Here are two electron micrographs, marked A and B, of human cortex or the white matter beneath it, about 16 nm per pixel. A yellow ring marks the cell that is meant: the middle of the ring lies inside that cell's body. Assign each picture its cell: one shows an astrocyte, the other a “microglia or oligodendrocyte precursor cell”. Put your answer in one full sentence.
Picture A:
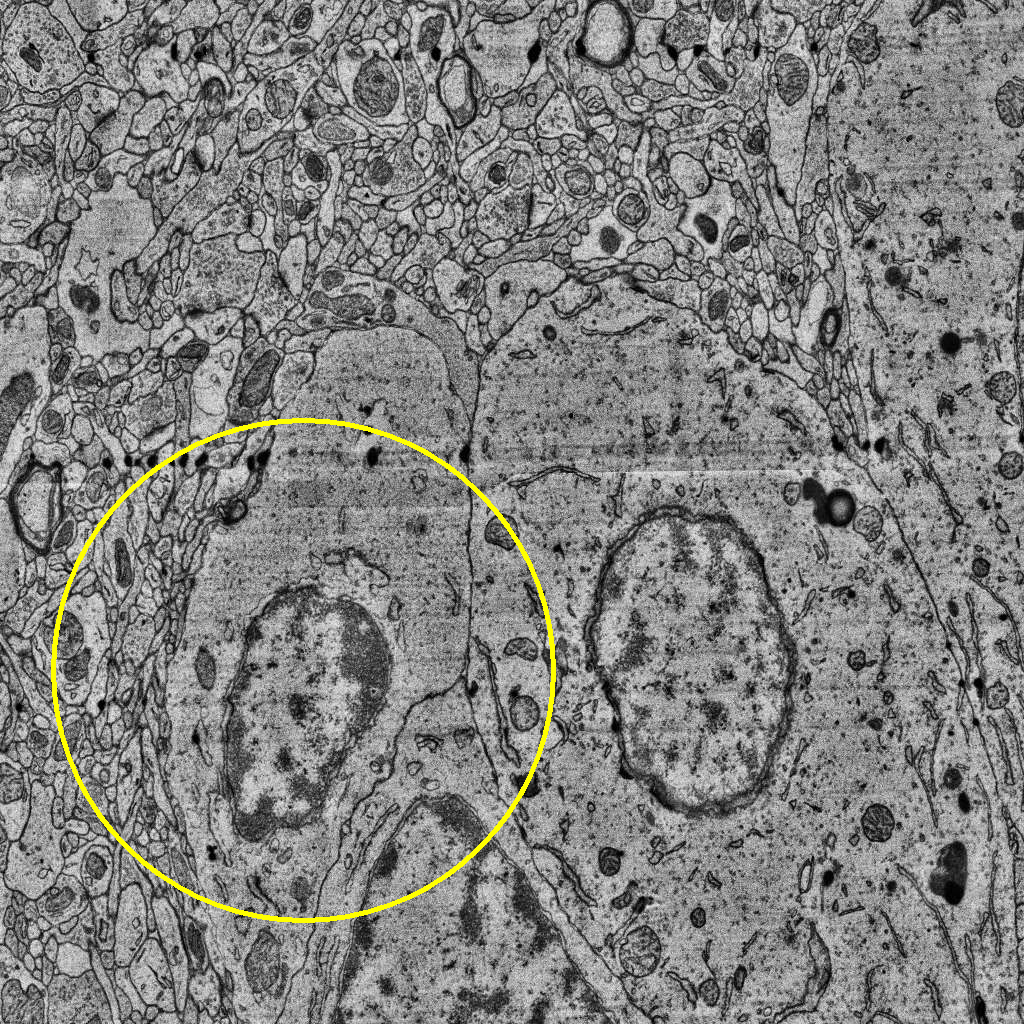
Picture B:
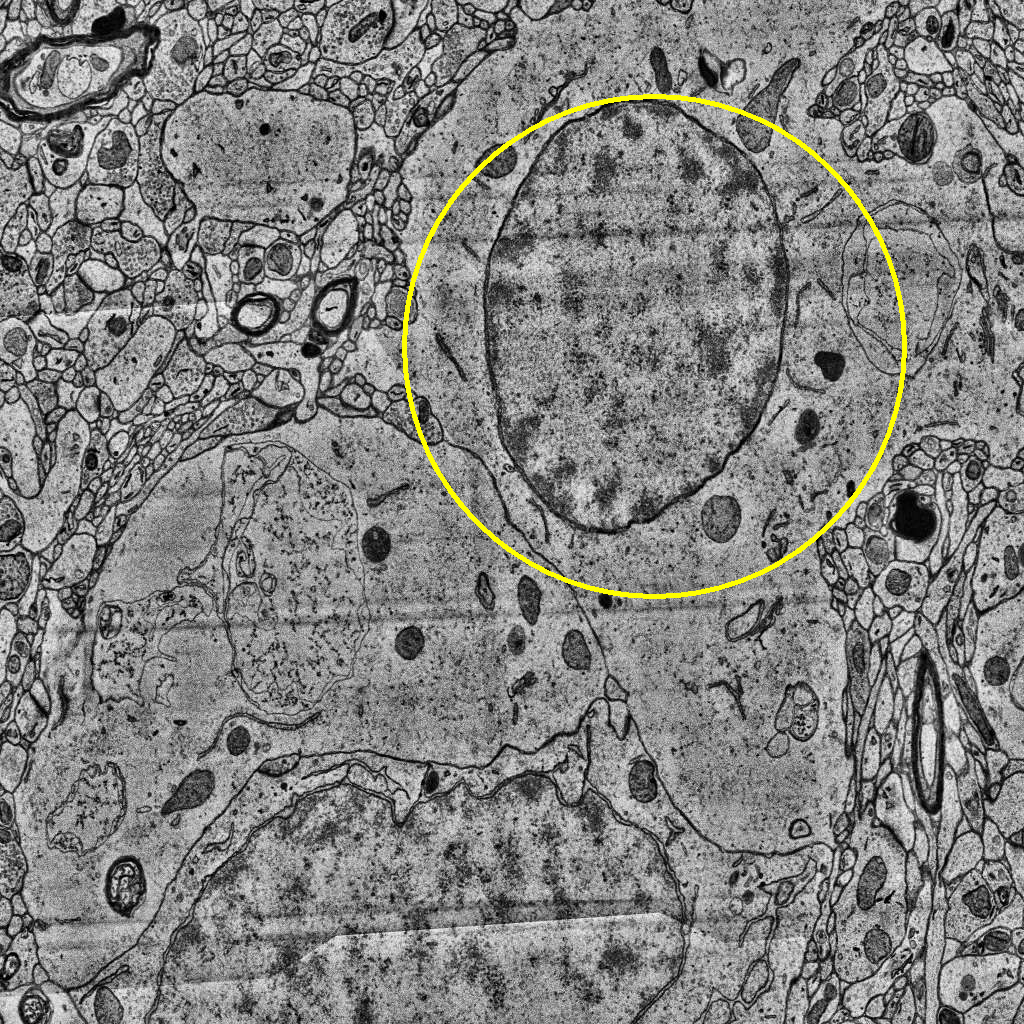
It is picture A that shows a “microglia or oligodendrocyte precursor cell”, and picture B that shows an astrocyte.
